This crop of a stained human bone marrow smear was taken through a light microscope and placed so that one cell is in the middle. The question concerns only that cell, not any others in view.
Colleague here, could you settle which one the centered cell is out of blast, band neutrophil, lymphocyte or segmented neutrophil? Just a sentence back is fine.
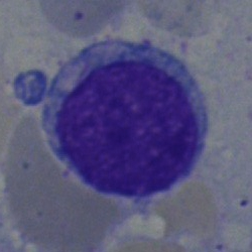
The central cell, amid any neighbouring cells, is a blast.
